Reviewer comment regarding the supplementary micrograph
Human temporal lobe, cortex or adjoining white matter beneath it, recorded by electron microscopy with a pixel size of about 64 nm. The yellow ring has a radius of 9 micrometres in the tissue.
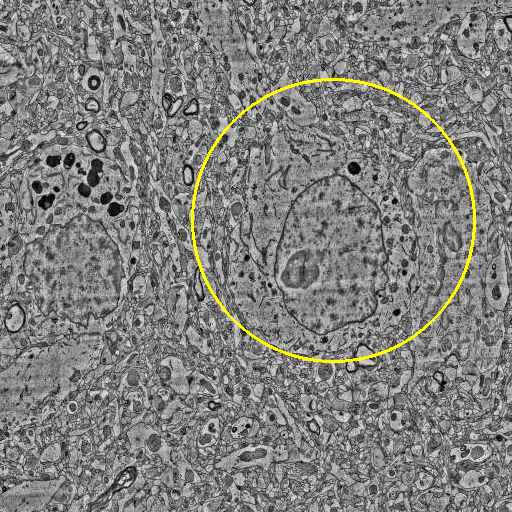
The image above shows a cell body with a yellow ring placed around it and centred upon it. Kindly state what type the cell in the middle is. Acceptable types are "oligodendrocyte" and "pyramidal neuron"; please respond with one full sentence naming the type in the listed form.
In the image above, the cell on which the yellow ring is centred is a pyramidal neuron.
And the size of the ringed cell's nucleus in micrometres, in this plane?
In this plane, the nucleus is roughly 10 by 7 micrometres.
